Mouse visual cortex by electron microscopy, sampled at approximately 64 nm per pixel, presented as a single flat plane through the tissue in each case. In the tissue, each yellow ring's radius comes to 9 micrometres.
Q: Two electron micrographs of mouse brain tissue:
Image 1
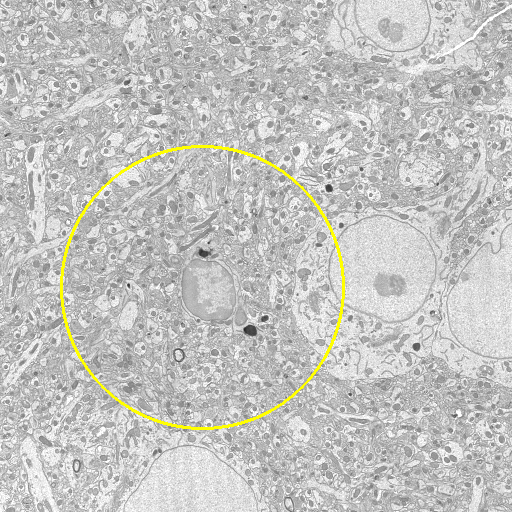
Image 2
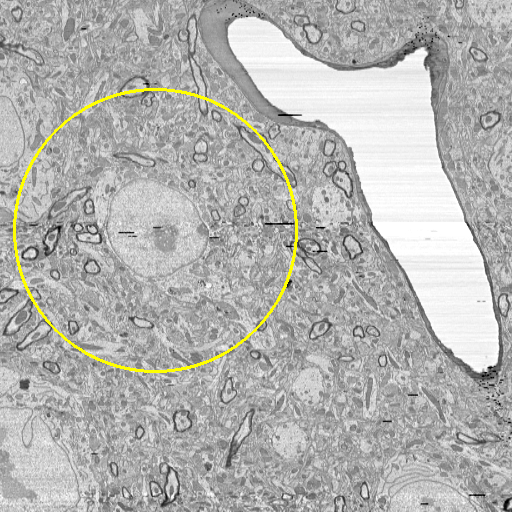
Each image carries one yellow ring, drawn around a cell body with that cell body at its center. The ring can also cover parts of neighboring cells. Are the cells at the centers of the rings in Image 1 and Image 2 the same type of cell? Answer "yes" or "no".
no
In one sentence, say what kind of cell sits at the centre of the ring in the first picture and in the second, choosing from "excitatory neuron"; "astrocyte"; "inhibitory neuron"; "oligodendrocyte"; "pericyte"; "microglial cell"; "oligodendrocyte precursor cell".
The first picture's ringed cell is a microglial cell, while the second picture's is an astrocyte.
